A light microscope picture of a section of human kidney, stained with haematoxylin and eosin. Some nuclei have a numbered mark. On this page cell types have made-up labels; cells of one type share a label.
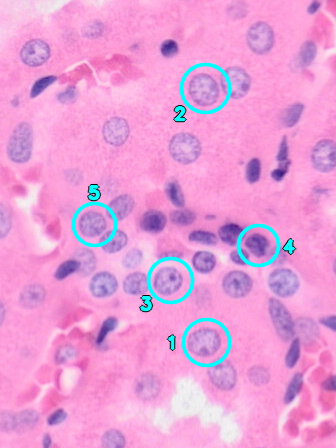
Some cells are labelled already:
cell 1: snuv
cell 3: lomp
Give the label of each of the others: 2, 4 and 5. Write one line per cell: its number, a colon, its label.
2: snuv
4: lomp
5: lomp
